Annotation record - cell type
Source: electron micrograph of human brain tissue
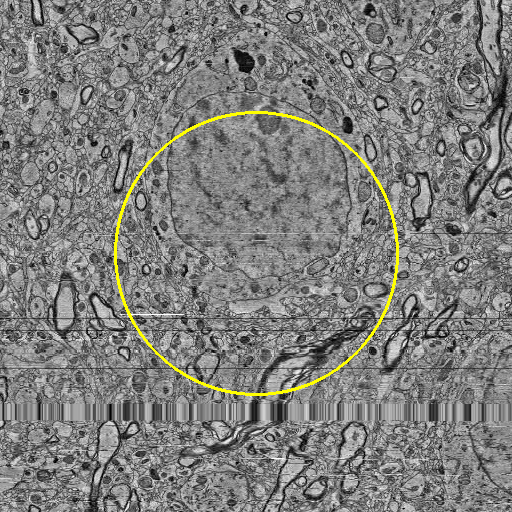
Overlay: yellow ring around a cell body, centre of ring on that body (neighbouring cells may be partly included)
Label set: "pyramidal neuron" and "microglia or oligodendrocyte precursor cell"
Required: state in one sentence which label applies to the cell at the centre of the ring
This cell should be labelled as a pyramidal neuron.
